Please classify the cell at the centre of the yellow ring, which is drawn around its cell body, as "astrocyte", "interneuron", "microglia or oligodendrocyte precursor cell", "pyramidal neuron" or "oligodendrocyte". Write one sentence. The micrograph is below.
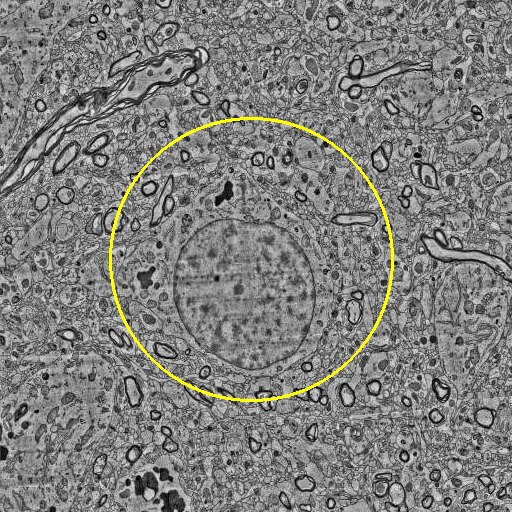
The cell at the ring's centre is classified as an interneuron.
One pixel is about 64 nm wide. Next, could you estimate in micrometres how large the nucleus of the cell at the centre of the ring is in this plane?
About 9 micrometres across, as seen in this plane.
